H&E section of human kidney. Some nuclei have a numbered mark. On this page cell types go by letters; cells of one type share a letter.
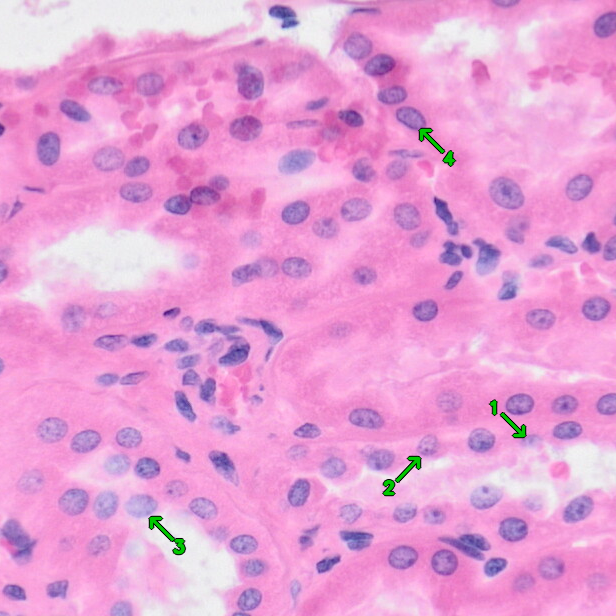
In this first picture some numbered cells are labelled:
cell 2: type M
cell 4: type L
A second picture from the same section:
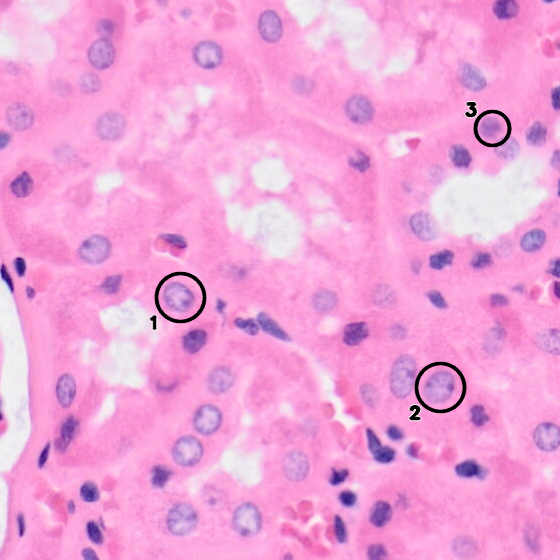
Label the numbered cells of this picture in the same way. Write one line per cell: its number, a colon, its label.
1: type L
2: type L
3: type M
